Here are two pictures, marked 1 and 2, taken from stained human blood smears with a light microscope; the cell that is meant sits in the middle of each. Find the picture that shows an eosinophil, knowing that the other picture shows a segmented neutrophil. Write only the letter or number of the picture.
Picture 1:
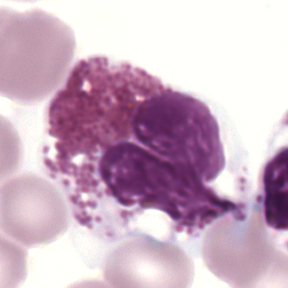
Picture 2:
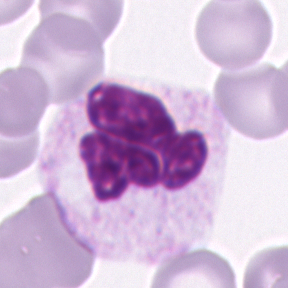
1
